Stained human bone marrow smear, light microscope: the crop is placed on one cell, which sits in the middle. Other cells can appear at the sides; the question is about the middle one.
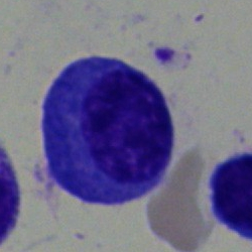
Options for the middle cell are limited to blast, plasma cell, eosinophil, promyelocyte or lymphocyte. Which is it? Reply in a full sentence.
What sits at the centre of this crop is a plasma cell.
